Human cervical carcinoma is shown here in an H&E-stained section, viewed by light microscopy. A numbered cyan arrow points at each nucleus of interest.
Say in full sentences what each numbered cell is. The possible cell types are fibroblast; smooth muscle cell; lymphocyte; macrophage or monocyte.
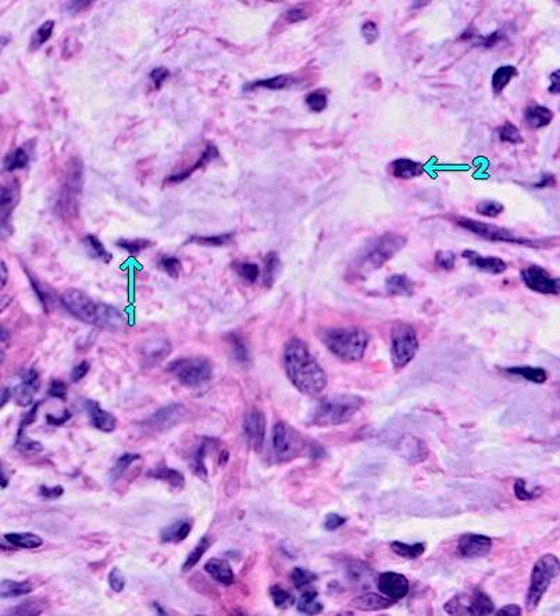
Cell 1 is a fibroblast and cell 2 is a lymphocyte.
